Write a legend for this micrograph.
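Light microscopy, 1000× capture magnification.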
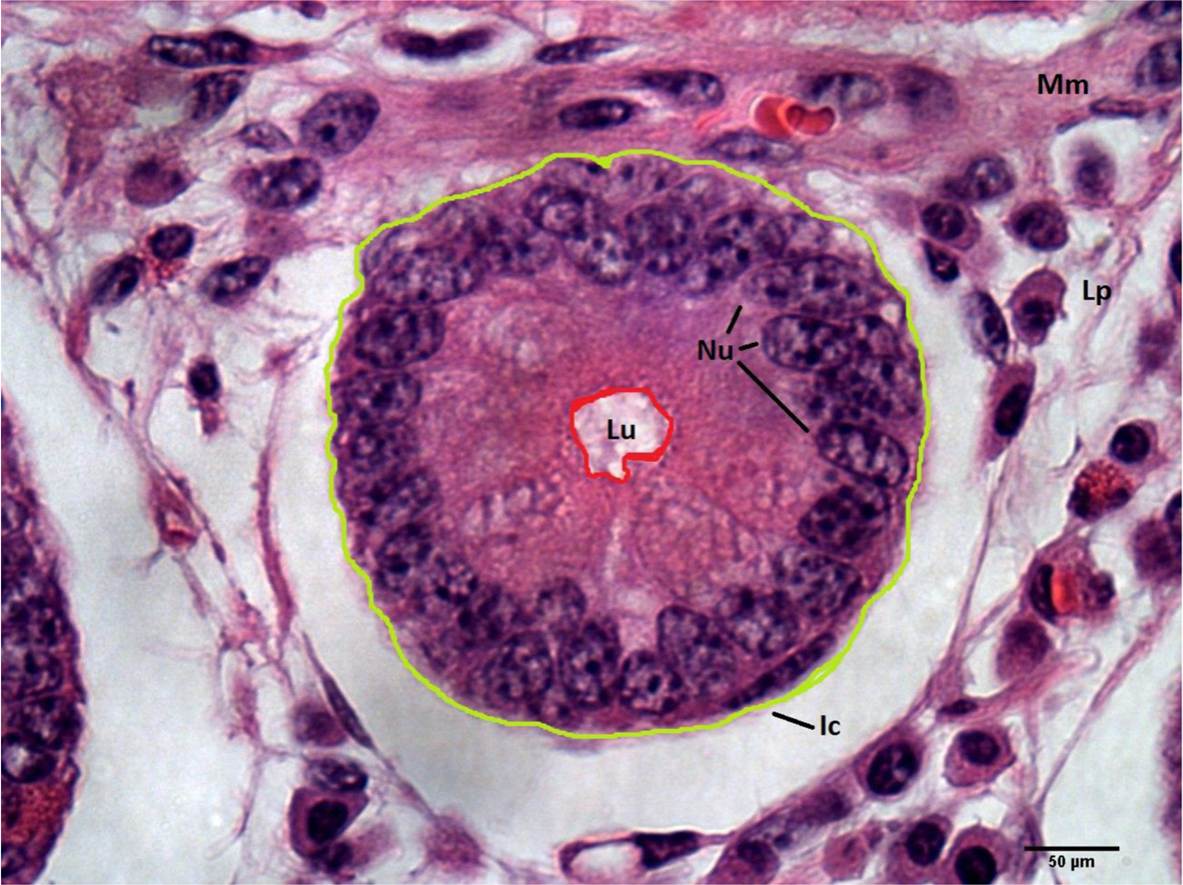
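In the middle lies a round gland profile cut across, made of tall epithelial cells whose large oval nuclei, with speckled chromatin, form a crowded ring at its outer edge. Their pink, finely granular cytoplasm converges toward a small, irregular central opening. A clear space separates this gland from the surrounding loose connective tissue, which holds scattered round and spindle-shaped cells and a few red blood cells. Along the top runs a band of pink, elongated cells with cigar-shaped nuclei, so this is an intestinal crypt with its lumen, lying in the lamina propria next to the muscularis mucosae.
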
